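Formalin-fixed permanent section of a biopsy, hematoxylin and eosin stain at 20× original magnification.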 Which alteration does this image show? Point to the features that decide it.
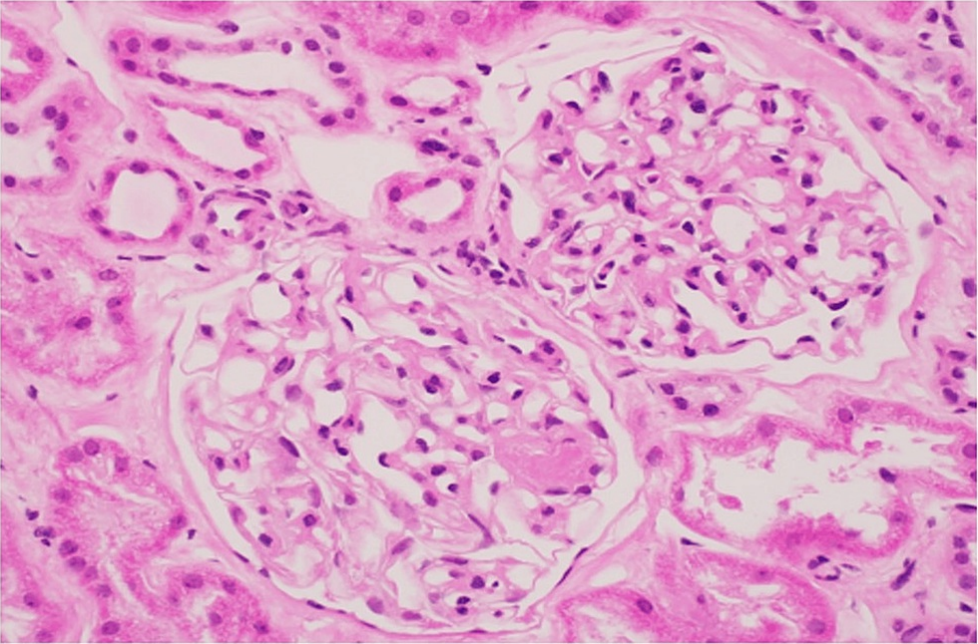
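Glomerular capillary microthrombus. A homogeneous, glassy pink deposit lies within the lower glomerular tuft. The deposit fills a capillary-sized space among the tuft's nuclei. The deposit has no nuclei in it.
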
